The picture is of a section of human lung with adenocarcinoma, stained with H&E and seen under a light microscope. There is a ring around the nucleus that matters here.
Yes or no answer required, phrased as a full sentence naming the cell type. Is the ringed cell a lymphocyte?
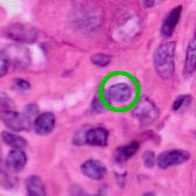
Yes, the ringed cell is one that is classed as a lymphocyte.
